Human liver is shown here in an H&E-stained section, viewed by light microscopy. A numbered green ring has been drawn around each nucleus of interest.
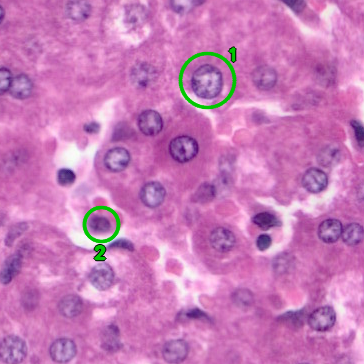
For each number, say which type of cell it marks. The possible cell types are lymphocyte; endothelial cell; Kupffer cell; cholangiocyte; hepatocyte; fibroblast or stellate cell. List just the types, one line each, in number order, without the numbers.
hepatocyte
Kupffer cell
